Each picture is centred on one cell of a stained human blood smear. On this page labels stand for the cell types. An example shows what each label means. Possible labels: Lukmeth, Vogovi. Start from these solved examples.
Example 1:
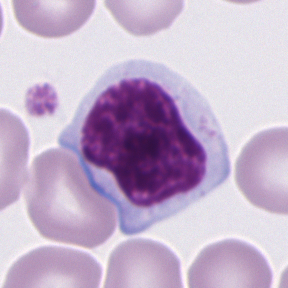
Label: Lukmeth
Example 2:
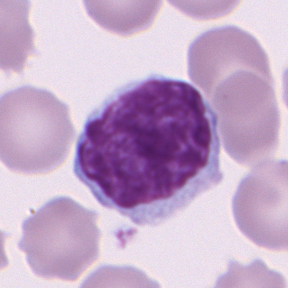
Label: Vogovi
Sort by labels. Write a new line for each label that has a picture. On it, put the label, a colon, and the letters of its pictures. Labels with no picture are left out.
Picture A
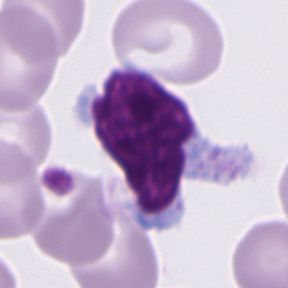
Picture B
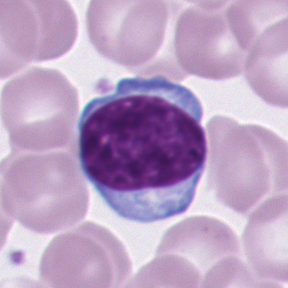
Lukmeth: A
Vogovi: B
